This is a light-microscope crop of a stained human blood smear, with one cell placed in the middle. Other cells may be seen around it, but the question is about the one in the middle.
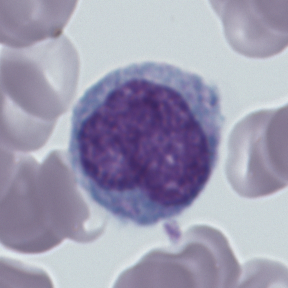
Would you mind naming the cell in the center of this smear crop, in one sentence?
In the center of this field lies a monocyte.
